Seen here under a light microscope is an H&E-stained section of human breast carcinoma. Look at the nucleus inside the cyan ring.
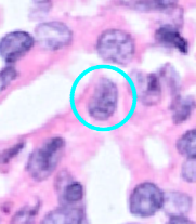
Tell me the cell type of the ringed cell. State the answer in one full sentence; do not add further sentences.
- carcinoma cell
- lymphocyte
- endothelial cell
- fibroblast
To be brief about it, the ringed cell is a carcinoma cell.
